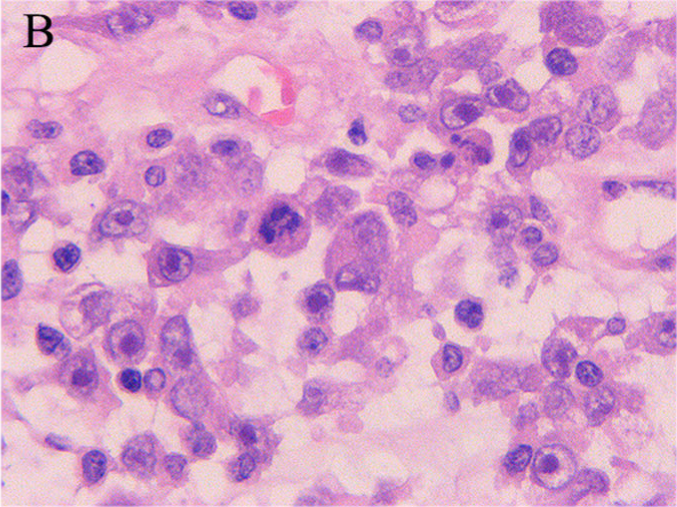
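At higher power, rounded tumor cells with pink to lilac cytoplasm carry large nuclei with open, pale chromatin and distinct dark nucleoli; some nuclei are markedly enlarged. The cells sit in a loose, pale, bubbly background with a small vessel holding red blood cells, and small dark-nucleated cells lie among them. These are epithelioid tumor cells with prominent nucleoli and nuclear enlargement in a loose, mucoid stroma with inflammatory cells.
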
